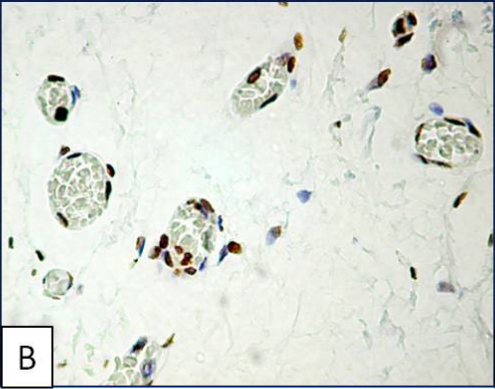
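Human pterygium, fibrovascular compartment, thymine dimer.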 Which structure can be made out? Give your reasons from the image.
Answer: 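Small blood vessels. Several small round cross-sections lie in loose stroma. Each is filled with red blood cells. Each is lined by flat nuclei, most stained brown.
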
